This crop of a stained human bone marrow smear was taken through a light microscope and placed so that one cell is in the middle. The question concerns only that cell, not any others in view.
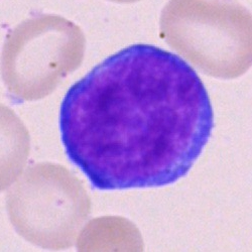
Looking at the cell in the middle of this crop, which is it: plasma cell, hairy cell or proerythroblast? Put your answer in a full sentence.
Whatever else lies nearby, the middle cell is a proerythroblast.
